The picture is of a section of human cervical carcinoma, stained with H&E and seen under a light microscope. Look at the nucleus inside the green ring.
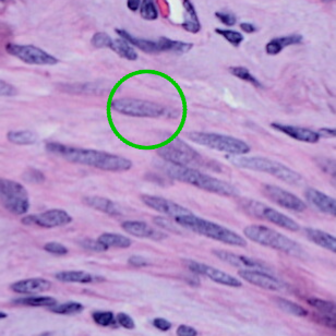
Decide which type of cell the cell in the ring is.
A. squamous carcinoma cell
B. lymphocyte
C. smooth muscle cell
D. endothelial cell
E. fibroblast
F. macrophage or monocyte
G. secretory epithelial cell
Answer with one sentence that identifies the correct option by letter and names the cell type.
In short, option C: the cell in the ring is a smooth muscle cell.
